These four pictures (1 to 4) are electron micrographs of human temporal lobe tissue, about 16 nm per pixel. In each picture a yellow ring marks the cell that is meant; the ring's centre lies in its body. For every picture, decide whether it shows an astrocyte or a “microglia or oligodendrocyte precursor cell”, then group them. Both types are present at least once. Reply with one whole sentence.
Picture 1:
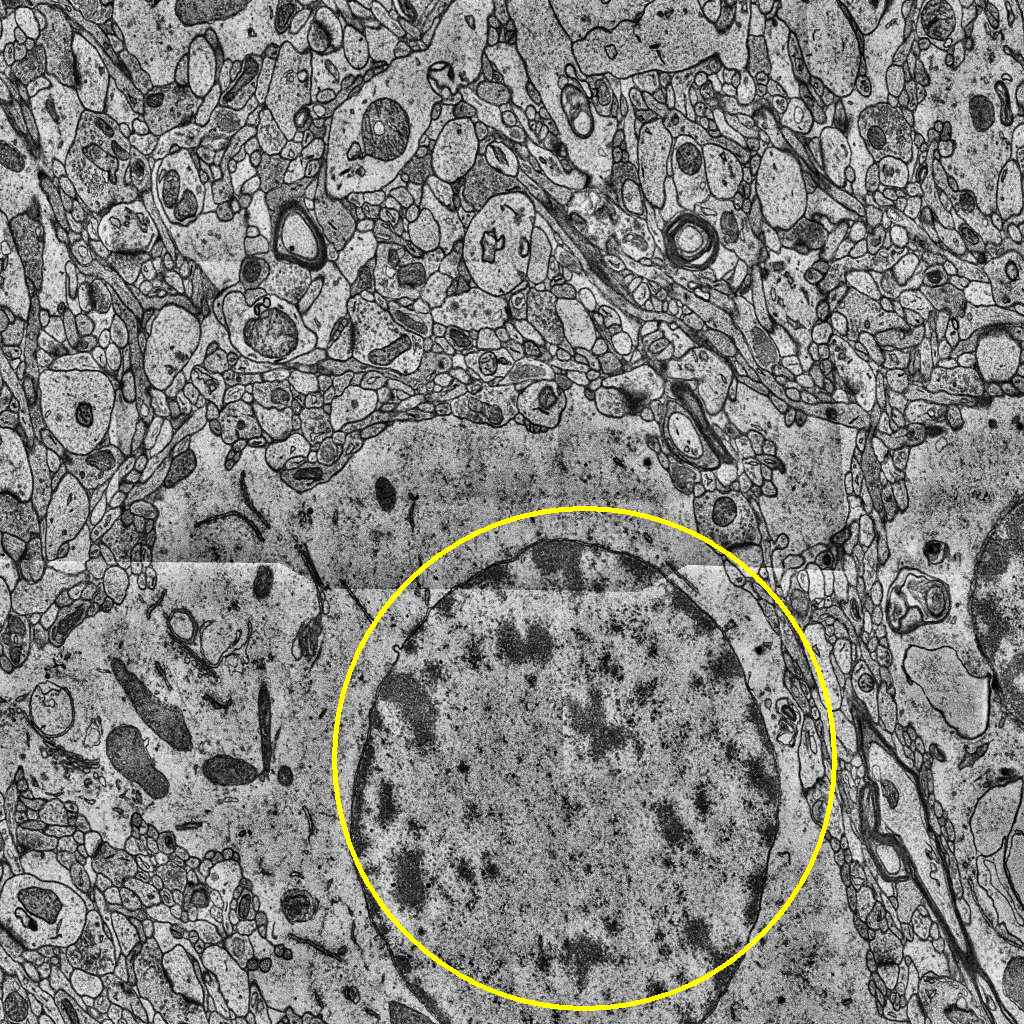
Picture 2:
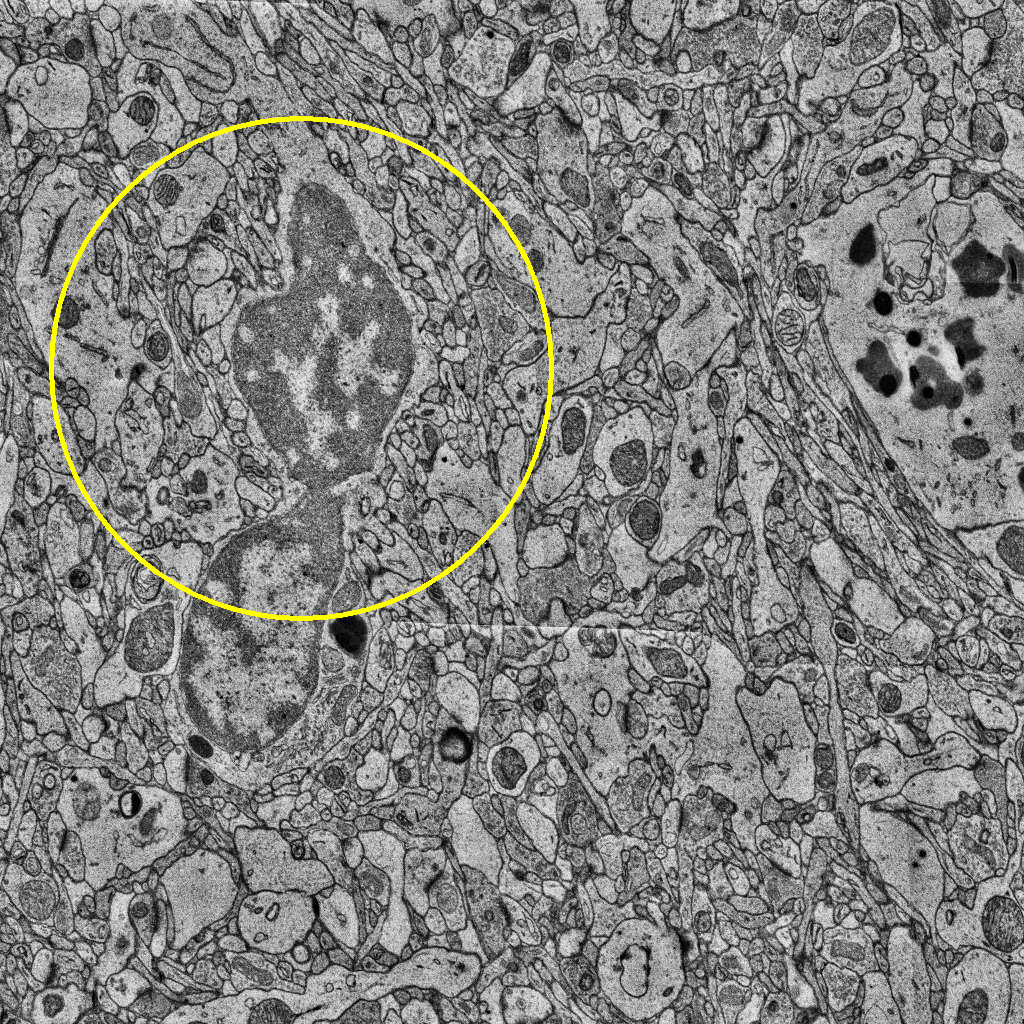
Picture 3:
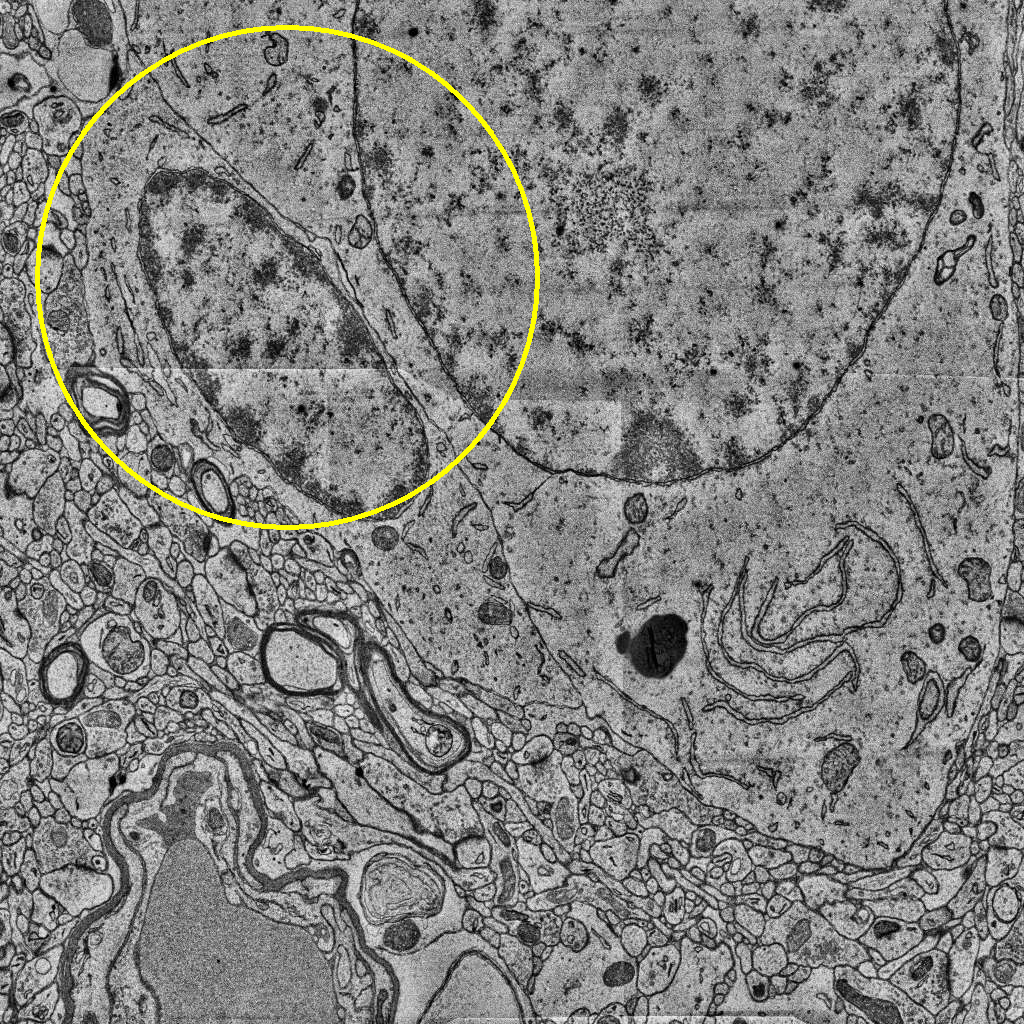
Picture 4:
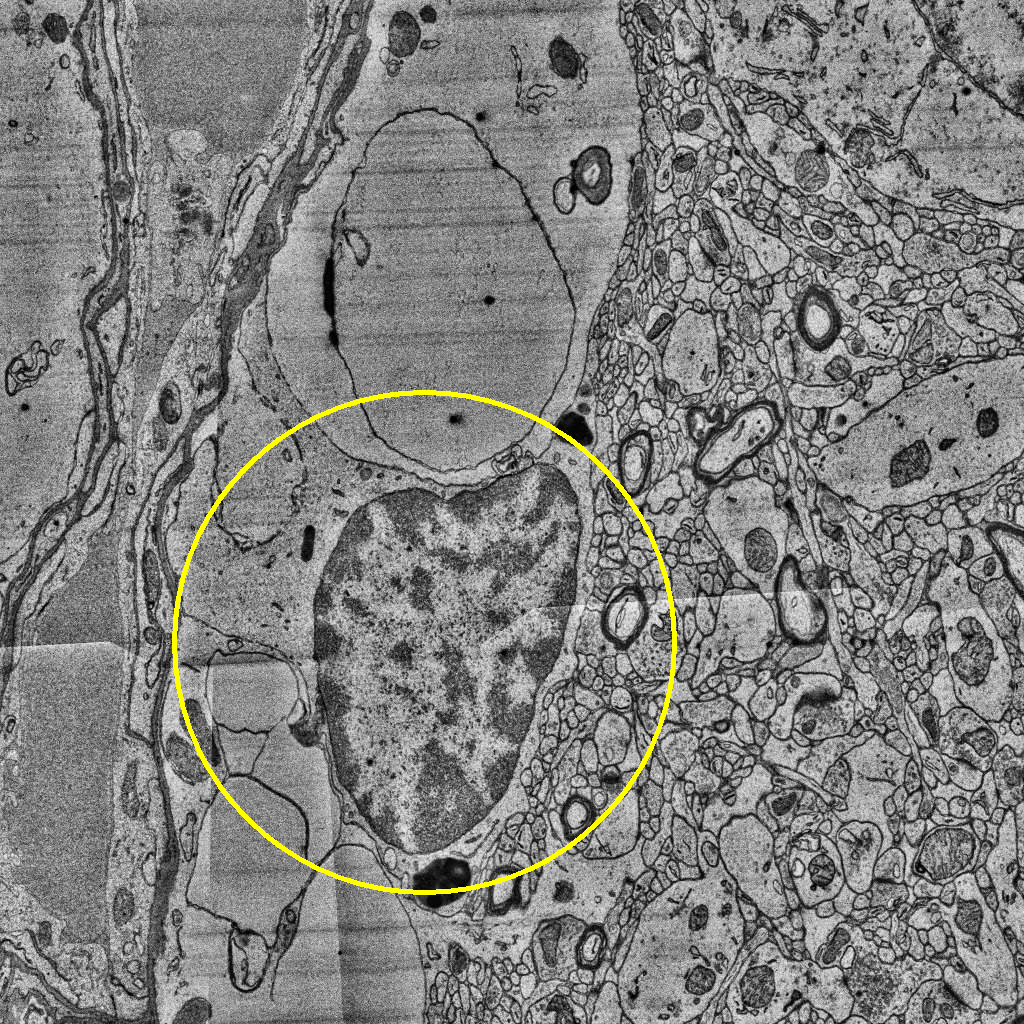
Picture 1 shows an astrocyte; pictures 2, 3 and 4 show “microglia or oligodendrocyte precursor cells”.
